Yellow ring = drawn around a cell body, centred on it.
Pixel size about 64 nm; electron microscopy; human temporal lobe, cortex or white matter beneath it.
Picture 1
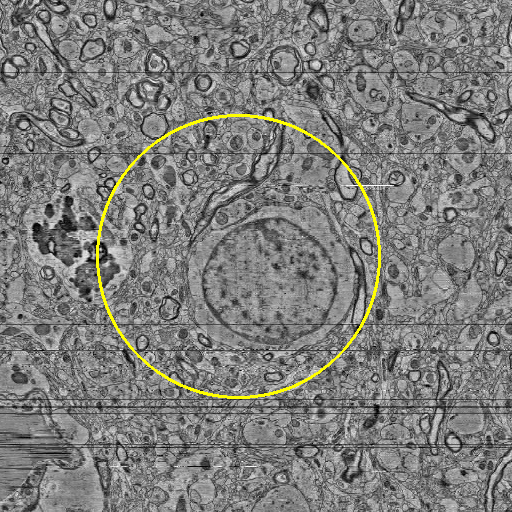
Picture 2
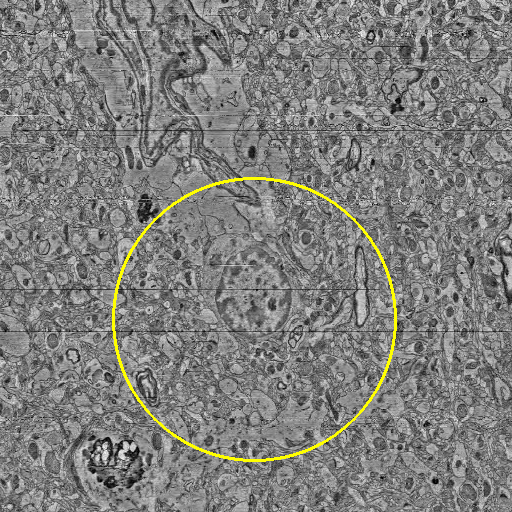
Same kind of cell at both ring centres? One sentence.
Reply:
No, they are two kinds of cell.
